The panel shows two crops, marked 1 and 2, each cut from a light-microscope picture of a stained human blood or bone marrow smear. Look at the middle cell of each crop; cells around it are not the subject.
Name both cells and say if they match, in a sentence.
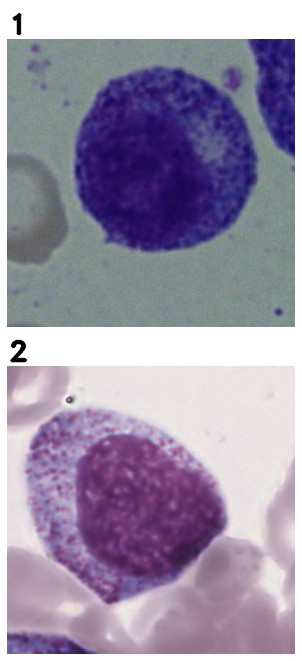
No, crop 1 and crop 2 show a myelocyte and a promyelocyte respectively.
